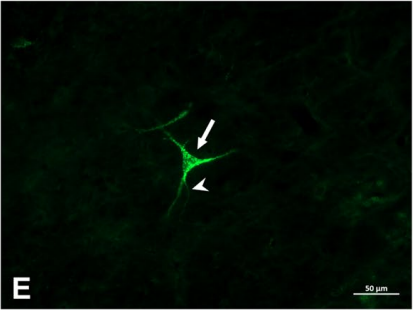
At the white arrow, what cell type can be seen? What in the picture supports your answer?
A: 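Neurons. The arrow points to a single labelled cell body with several tapering processes. The cell body is angular, with processes leaving in different directions.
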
